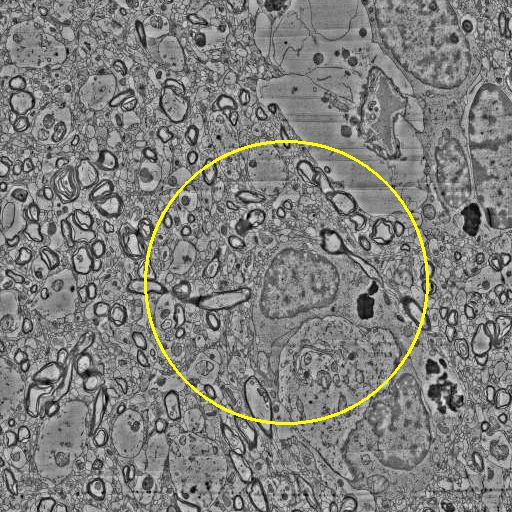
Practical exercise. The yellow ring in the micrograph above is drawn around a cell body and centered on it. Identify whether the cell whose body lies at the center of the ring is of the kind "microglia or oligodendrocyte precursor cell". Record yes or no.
no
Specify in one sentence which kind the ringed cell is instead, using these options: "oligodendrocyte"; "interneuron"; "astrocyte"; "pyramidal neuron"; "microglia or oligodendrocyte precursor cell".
Instead, the ring surrounds an oligodendrocyte in this picture.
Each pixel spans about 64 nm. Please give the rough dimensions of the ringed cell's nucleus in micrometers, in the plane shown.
The nucleus of the ringed cell is approximately 5 by 4 micrometres in this plane.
